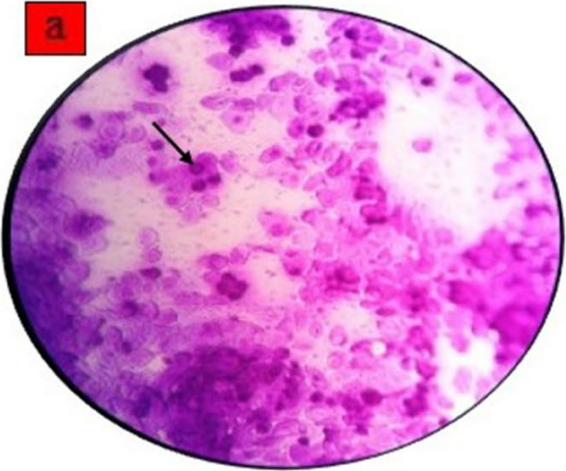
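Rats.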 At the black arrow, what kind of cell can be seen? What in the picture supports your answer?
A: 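The arrowed cells are rounded and carry dark purple nuclei. Many similar rounded cells lie in clusters across the field.
Conclusion: nucleated epithelial cells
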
